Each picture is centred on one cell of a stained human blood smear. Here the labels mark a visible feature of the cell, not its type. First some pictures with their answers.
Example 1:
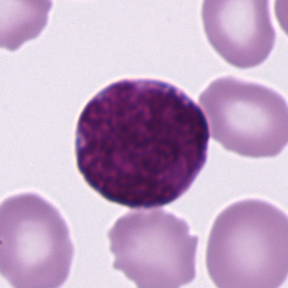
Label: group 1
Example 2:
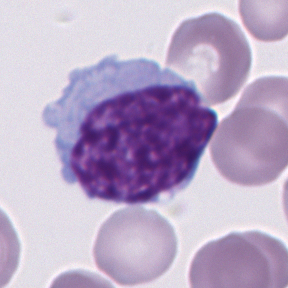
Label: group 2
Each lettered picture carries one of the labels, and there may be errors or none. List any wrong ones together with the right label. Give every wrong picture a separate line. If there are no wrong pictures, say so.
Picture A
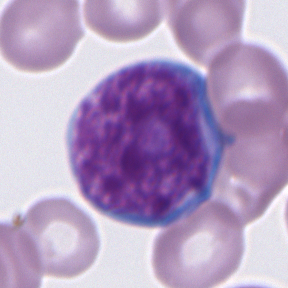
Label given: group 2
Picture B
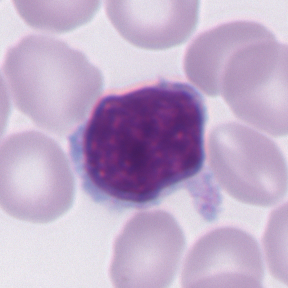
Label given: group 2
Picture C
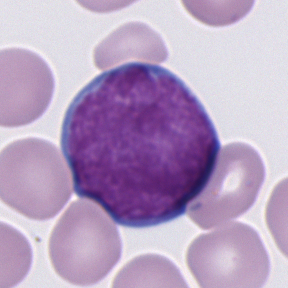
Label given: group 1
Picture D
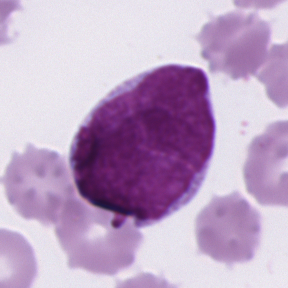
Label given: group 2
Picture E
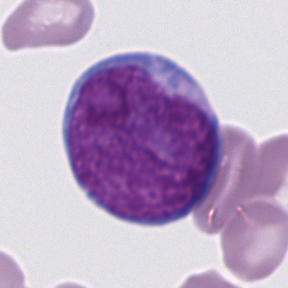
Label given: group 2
E is labelled group 2; correct label: group 1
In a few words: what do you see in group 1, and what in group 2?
Seen in group 1: smooth outline; seen in group 2: ragged outline or projections.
